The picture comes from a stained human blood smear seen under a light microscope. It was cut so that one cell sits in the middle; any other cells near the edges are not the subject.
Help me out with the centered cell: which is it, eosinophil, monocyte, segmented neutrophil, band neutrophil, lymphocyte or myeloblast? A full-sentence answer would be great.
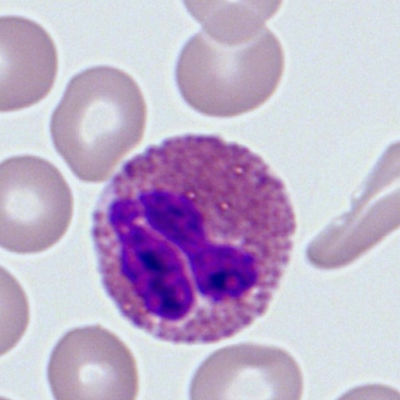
The central cell shown in this smear crop is an eosinophil.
